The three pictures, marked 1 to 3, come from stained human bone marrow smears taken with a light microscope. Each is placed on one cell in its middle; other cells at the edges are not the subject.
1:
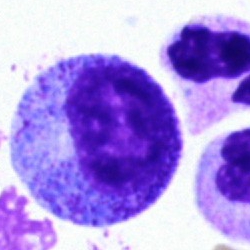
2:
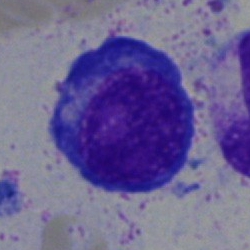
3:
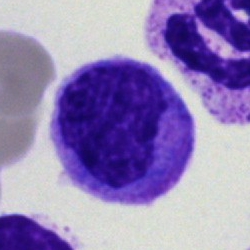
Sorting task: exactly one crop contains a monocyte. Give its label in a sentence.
Selected crop: 3, which is the one that shows a monocyte.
